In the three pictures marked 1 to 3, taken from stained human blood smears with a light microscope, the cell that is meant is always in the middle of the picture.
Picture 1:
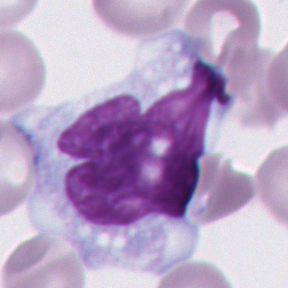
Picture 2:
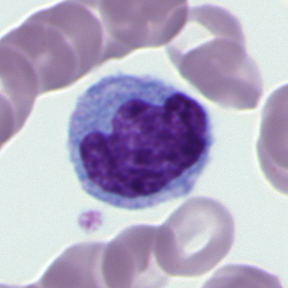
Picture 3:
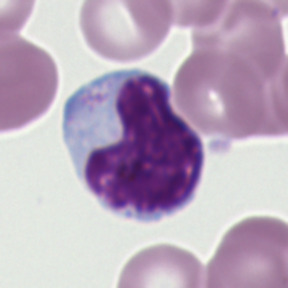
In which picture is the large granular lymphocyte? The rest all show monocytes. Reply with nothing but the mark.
3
